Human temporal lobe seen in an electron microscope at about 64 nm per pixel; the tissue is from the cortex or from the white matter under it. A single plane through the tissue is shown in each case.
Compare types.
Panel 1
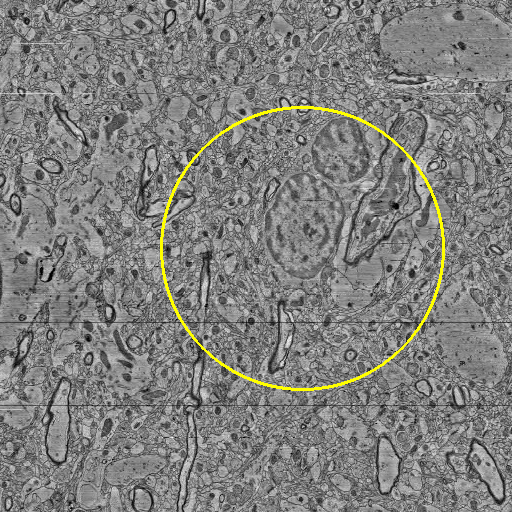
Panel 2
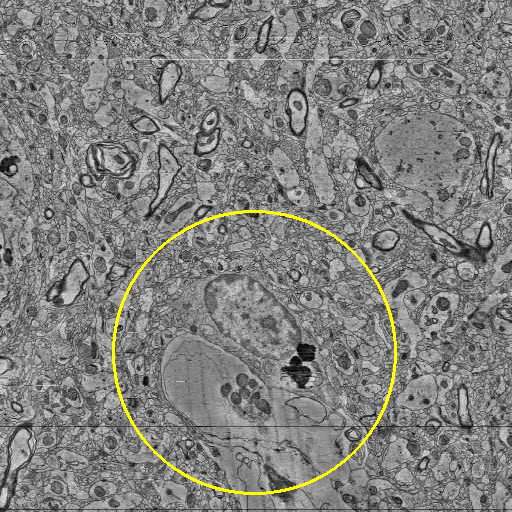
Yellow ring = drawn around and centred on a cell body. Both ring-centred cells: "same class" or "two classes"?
same class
